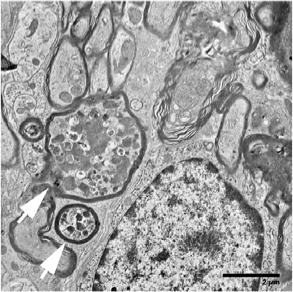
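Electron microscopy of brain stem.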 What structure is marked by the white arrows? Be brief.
Axonal inclusions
